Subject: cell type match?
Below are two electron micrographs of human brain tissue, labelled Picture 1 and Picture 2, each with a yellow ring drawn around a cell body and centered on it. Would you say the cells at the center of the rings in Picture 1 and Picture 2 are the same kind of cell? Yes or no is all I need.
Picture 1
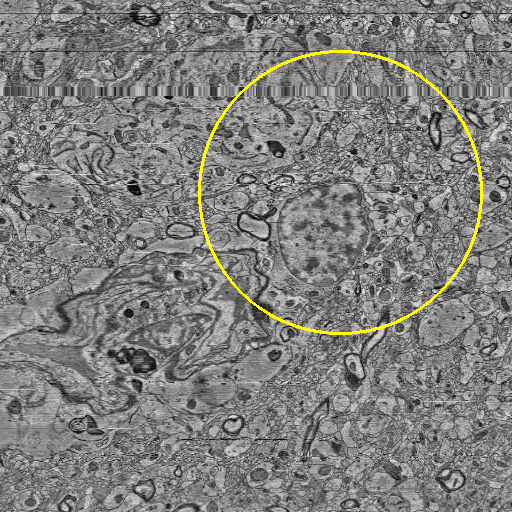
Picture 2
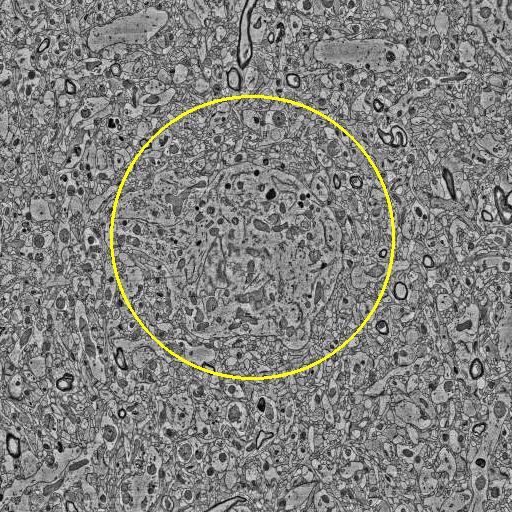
no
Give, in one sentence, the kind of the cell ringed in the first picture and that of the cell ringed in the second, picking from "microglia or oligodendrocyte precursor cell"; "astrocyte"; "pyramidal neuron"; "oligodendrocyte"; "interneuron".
For the first picture it is an oligodendrocyte; for the second, an interneuron.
